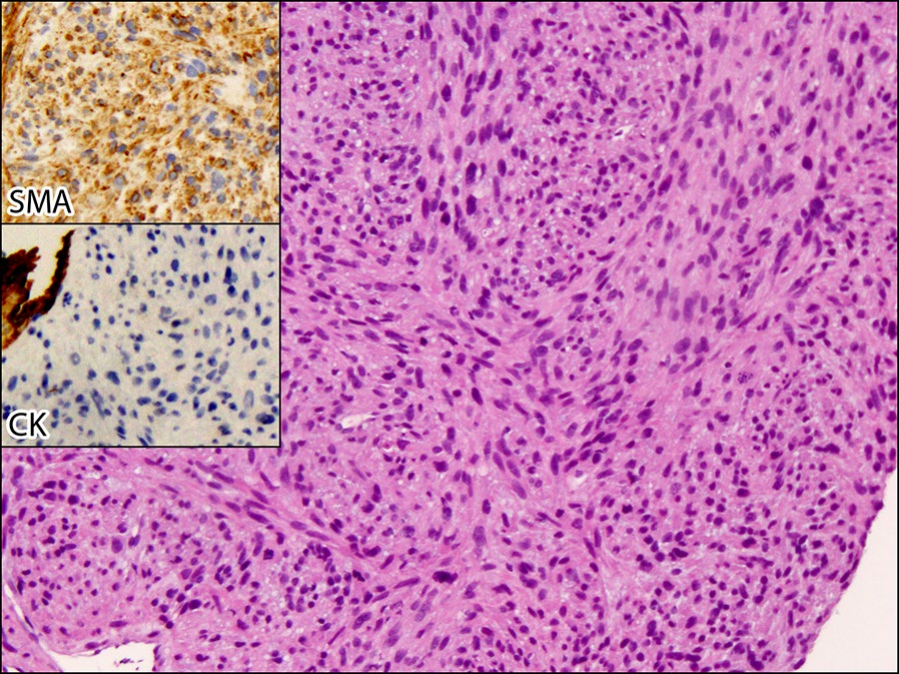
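This is a lesion made of malignant smooth muscle cells, spindle-shaped cells with pink cytoplasm that are grouped into intersecting fascicles cut both lengthwise and across. The nuclei are elongated to oval, dark and crowded, and they vary in size and shape. In the upper inset the tumour cells have brown-stained cytoplasm; in the lower inset the tumour cells stay unstained blue, while a small fragment at the left edge is stained dark brown.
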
